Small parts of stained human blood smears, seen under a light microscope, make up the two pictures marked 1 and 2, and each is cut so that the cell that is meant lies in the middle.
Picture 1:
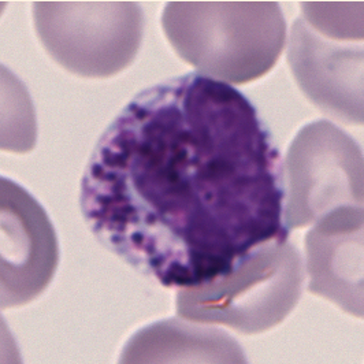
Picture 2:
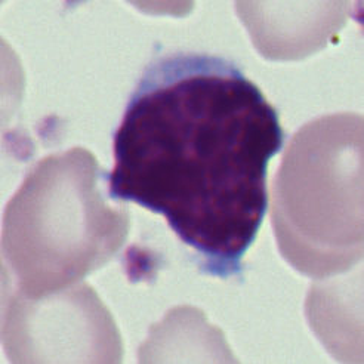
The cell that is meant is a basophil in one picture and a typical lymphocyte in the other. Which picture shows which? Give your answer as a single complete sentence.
Picture 2 shows a typical lymphocyte, while picture 1 shows a basophil.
